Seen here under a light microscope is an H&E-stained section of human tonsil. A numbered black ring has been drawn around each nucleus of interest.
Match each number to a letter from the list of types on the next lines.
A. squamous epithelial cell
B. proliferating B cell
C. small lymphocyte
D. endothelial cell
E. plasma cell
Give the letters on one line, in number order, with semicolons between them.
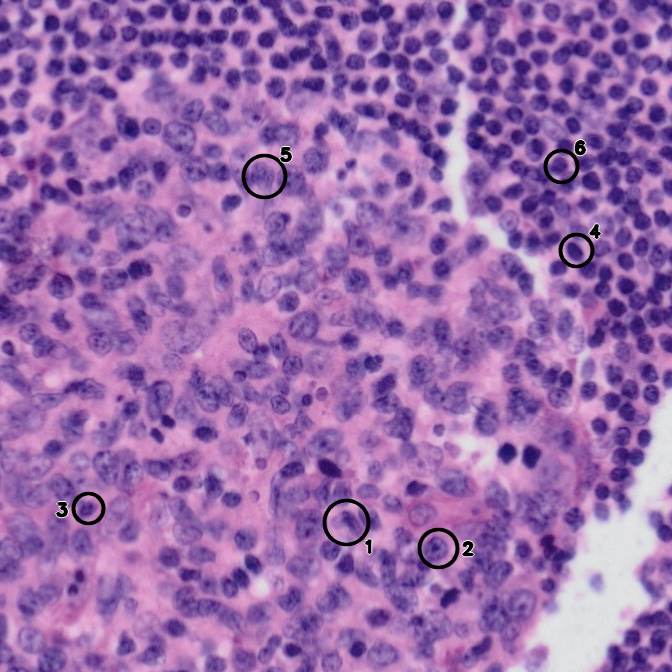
B; B; B; C; B; C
